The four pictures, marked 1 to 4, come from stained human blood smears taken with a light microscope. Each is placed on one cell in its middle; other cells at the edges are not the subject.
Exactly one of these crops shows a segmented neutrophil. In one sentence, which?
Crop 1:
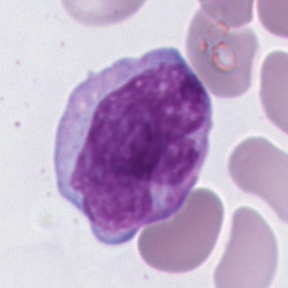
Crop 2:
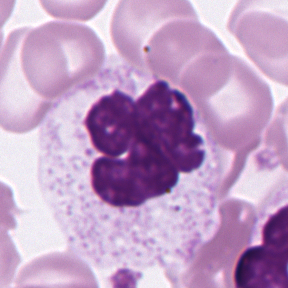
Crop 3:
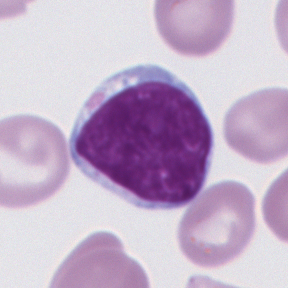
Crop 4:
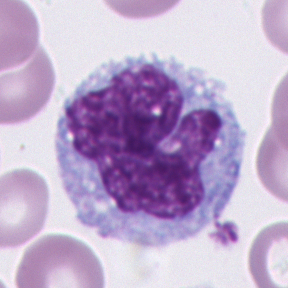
Crop 2 alone, of all the crops, shows a segmented neutrophil.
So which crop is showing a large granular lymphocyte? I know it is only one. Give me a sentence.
Look at crop 3; that is the one with a large granular lymphocyte in its center.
